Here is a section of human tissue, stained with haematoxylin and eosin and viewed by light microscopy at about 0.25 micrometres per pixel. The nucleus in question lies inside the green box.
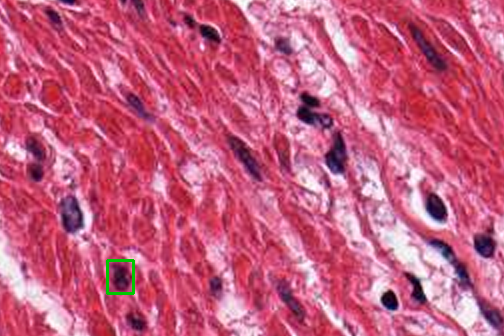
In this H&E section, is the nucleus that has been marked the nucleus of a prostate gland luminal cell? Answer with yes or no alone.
no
